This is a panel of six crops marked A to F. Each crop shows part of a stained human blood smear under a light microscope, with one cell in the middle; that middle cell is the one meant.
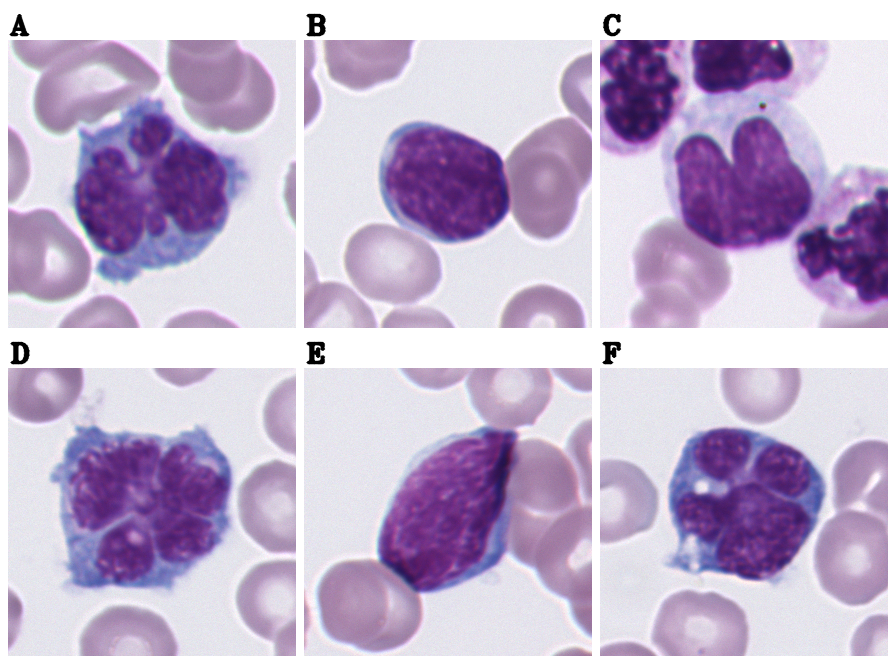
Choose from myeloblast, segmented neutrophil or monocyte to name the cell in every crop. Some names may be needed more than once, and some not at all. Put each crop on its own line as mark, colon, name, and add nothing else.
A: monocyte
B: myeloblast
C: monocyte
D: monocyte
E: myeloblast
F: monocyte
